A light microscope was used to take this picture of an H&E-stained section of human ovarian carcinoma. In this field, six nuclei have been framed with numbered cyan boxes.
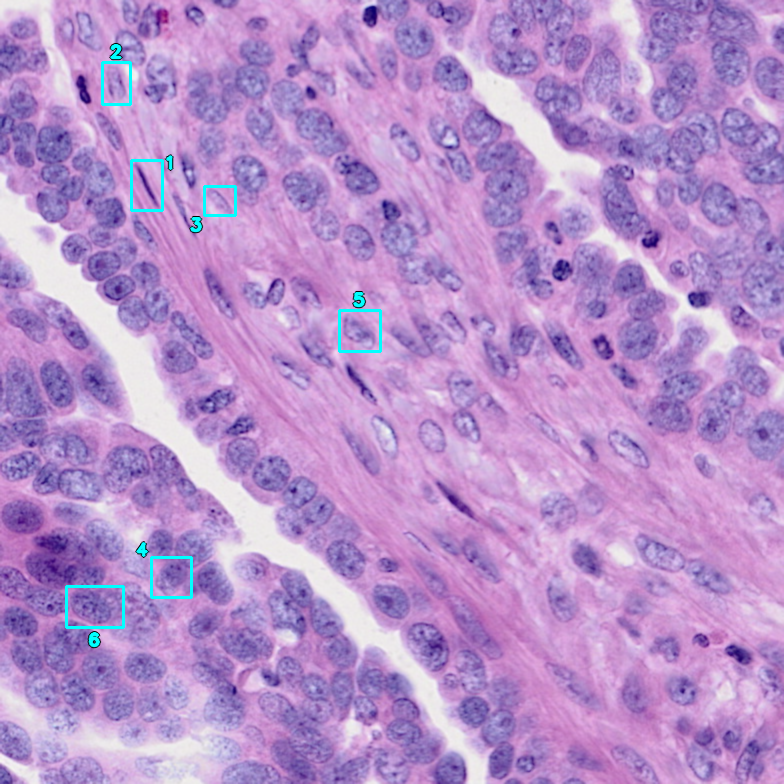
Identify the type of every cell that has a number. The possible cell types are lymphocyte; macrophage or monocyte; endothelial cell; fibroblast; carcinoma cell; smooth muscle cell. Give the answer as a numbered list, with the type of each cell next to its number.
1. fibroblast
2. fibroblast
3. fibroblast
4. carcinoma cell
5. fibroblast
6. carcinoma cell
